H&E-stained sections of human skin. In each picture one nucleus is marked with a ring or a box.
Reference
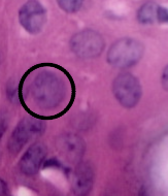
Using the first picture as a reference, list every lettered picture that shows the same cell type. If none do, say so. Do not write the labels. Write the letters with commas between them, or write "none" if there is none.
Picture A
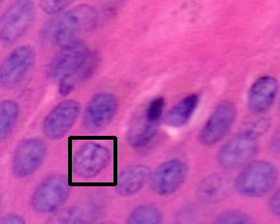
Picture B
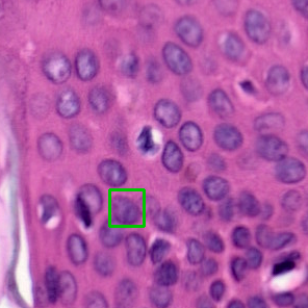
A, B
